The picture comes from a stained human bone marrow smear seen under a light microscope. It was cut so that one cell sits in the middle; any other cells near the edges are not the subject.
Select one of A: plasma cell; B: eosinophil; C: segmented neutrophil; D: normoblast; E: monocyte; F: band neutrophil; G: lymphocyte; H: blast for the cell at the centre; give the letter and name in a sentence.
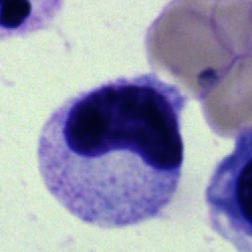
The cell positioned centrally is a band neutrophil, as given in option F, which is correct.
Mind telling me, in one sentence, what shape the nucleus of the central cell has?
Its nucleus is compact and single, with a round, oval or kidney-shaped form.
